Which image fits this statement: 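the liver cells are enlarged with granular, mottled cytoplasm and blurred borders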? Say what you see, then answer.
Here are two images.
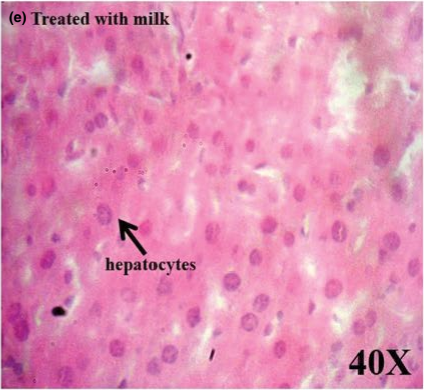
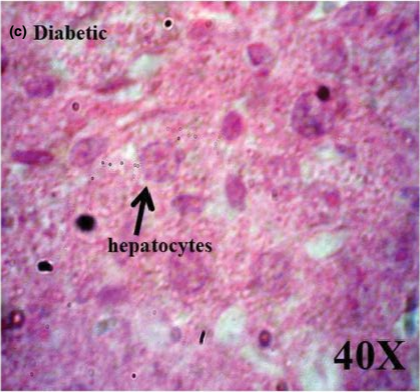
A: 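First image: evenly sized cells with smooth pink cytoplasm and small round nuclei in orderly rows. Second image: large cells with coarse granular cytoplasm, large nuclei and indistinct borders. That points to this answer: the second image.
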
